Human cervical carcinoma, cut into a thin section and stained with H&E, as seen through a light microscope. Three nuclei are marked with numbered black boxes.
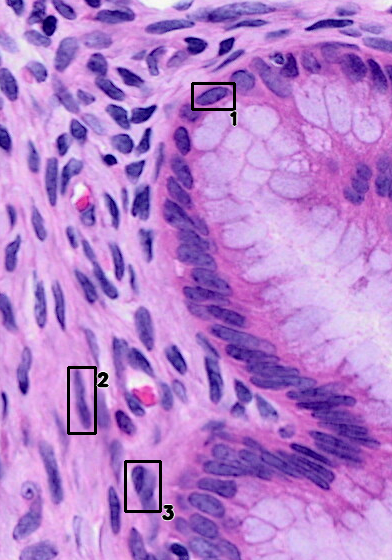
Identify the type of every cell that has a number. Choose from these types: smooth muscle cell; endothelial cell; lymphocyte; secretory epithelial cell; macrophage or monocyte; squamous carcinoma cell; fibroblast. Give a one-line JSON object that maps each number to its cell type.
{"1": "secretory epithelial cell", "2": "fibroblast", "3": "fibroblast"}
